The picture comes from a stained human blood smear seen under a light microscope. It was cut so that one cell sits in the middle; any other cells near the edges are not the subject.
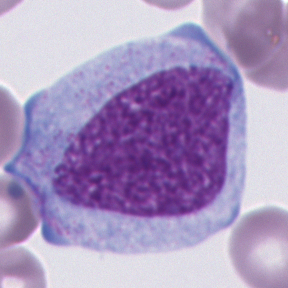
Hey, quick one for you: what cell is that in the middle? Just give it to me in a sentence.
The central cell, amid any neighbouring cells, is a promyelocyte.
